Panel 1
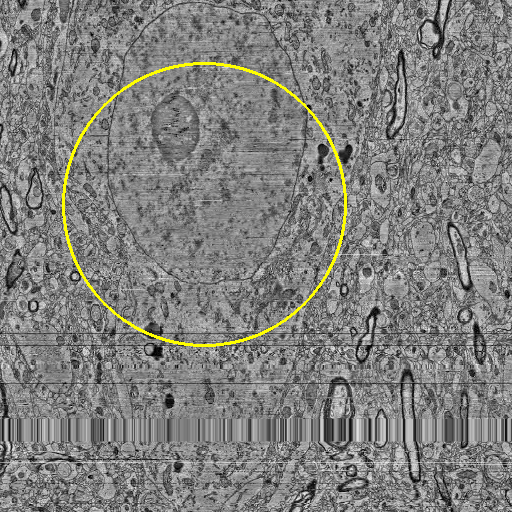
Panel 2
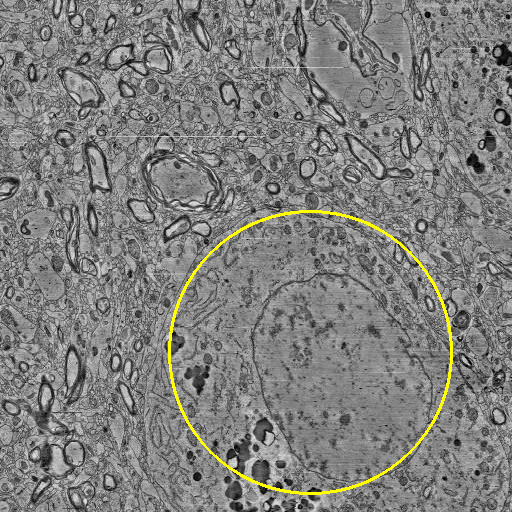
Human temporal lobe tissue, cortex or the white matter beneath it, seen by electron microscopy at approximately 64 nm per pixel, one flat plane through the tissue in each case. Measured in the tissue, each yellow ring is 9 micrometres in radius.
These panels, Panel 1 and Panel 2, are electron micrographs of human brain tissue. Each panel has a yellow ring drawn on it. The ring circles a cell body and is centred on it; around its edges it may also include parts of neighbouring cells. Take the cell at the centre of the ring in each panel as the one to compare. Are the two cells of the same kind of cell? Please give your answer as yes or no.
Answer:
yes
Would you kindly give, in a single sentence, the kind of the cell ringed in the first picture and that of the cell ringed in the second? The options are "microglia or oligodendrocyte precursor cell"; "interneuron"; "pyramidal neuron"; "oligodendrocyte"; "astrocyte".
Each of the two rings is centred on a pyramidal neuron.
